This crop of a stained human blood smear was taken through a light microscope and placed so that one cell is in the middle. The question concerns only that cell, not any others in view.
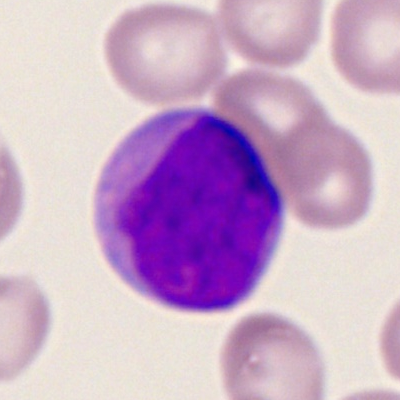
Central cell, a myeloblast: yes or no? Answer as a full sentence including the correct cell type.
Yes, the cell lying in the centre of the crop is identified as a myeloblast.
